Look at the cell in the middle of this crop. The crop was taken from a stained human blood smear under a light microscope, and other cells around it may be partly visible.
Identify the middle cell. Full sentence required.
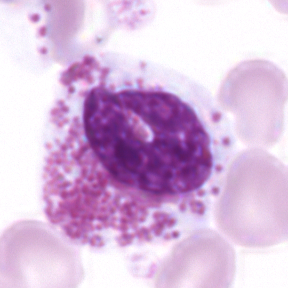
The cell the crop is centered on is an eosinophil.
